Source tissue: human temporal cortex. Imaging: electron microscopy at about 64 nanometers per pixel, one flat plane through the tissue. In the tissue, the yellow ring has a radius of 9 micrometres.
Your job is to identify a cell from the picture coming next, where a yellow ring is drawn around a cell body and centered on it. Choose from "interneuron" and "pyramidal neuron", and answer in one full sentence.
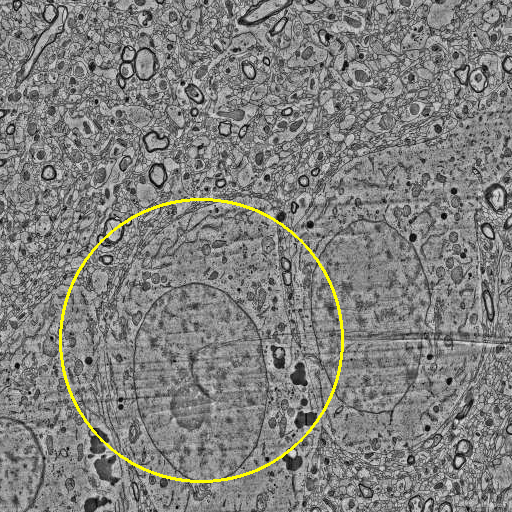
Centered in the yellow ring of the picture is the body of a pyramidal neuron.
